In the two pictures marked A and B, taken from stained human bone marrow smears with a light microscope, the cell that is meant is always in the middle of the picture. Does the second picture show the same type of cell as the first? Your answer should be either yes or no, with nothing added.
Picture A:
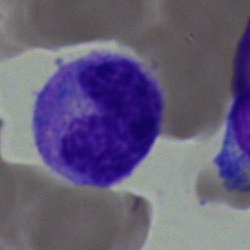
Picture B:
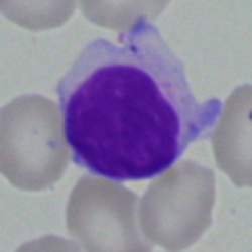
no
